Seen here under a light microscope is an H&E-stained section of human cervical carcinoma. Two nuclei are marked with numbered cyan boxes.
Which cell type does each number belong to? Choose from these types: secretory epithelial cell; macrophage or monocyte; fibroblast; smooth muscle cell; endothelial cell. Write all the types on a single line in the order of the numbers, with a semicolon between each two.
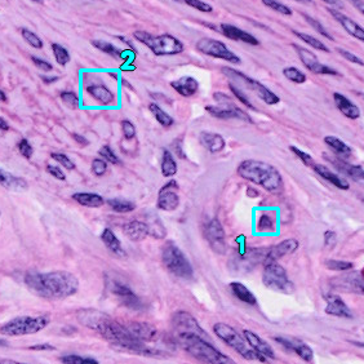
endothelial cell; smooth muscle cell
